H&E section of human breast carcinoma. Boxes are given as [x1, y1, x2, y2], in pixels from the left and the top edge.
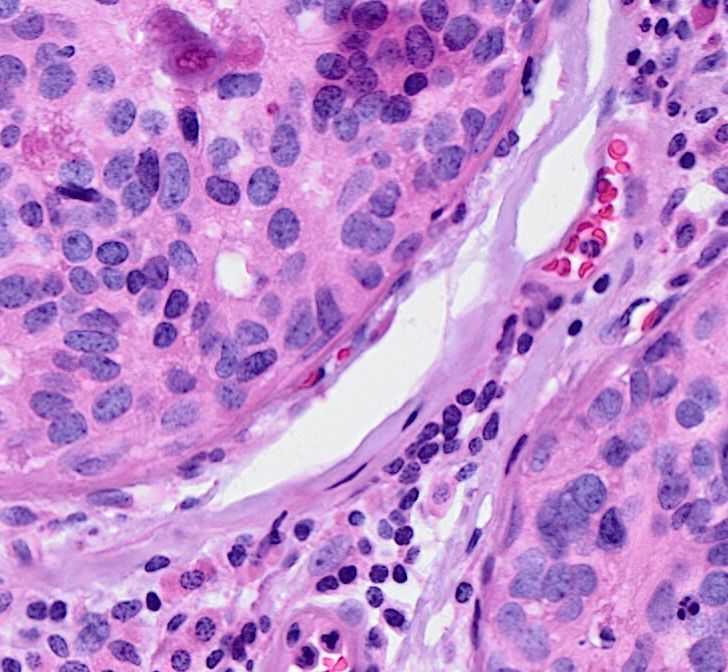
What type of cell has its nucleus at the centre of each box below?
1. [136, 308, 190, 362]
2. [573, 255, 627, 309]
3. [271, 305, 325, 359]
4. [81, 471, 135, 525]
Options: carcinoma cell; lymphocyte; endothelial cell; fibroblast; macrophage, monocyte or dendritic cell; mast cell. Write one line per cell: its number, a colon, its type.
1: carcinoma cell
2: lymphocyte
3: carcinoma cell
4: endothelial cell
